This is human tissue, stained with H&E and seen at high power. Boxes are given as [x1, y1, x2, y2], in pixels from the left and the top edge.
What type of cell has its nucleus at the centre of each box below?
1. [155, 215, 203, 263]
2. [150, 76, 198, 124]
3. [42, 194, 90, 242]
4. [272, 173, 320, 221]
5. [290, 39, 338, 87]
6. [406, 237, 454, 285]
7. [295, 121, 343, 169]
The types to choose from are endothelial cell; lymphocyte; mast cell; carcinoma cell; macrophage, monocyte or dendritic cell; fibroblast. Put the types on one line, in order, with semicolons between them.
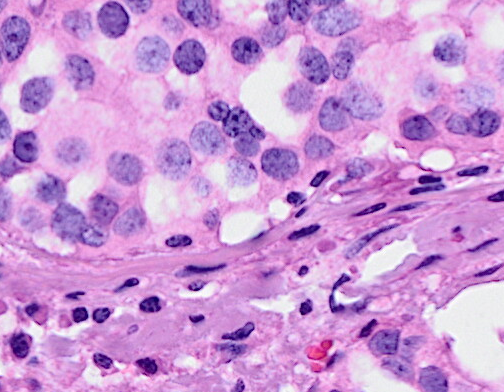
lymphocyte; carcinoma cell; carcinoma cell; lymphocyte; carcinoma cell; fibroblast; carcinoma cell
